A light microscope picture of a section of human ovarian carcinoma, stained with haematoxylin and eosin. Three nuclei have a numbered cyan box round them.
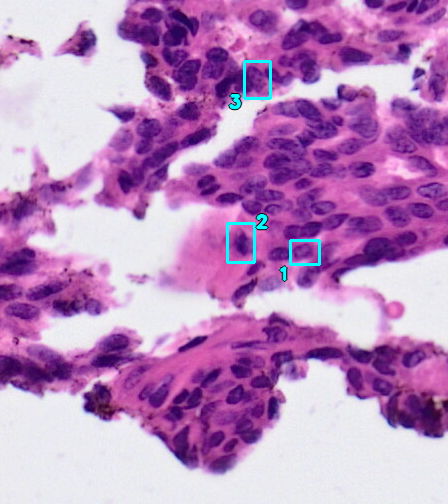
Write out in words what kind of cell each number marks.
Cell 1 is a carcinoma cell, cell 2 is an endothelial cell and cell 3 is a carcinoma cell.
